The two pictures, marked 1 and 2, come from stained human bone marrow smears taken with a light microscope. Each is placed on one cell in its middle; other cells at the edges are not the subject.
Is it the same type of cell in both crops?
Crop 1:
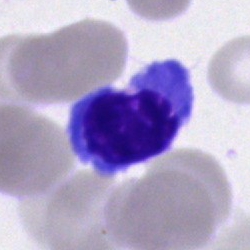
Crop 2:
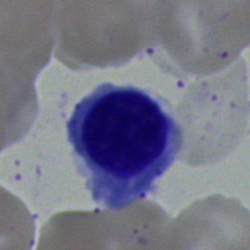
yes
